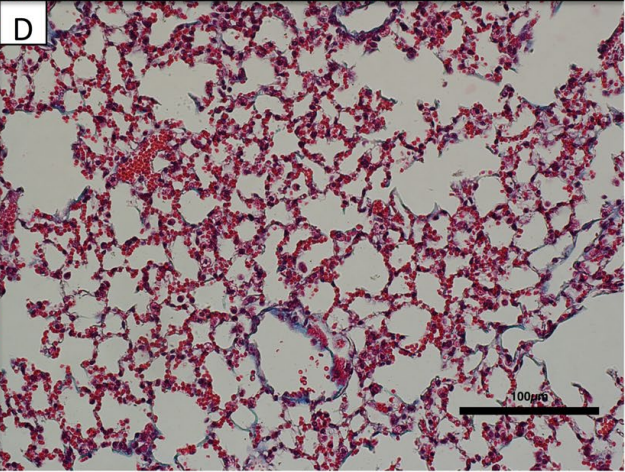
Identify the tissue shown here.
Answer: Lung.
